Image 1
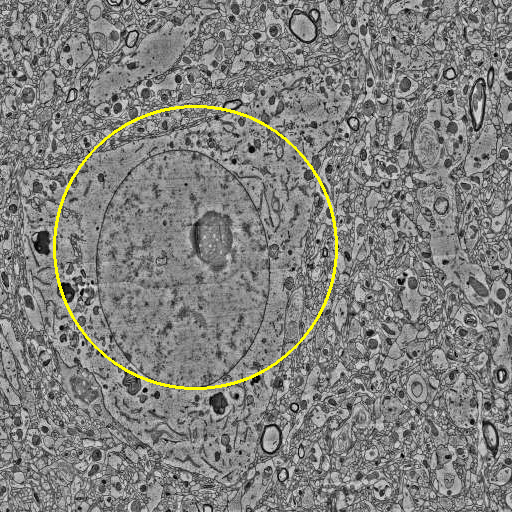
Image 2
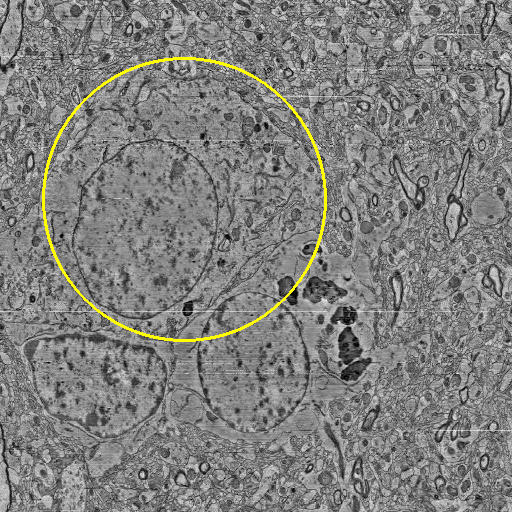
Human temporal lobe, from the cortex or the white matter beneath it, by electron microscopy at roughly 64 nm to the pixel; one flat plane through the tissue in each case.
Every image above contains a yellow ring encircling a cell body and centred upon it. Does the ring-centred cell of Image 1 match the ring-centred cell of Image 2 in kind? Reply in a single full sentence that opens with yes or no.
Yes, the cell at the ring's centre in Image 1 is the same kind as that in Image 2.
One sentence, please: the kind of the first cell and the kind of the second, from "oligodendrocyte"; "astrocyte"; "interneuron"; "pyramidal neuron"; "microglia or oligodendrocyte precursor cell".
The cell at the ring centre is a pyramidal neuron in both pictures.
